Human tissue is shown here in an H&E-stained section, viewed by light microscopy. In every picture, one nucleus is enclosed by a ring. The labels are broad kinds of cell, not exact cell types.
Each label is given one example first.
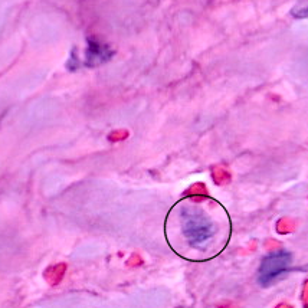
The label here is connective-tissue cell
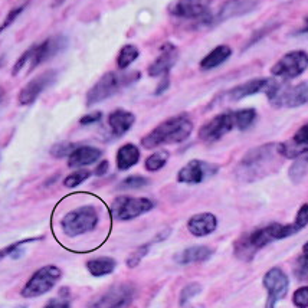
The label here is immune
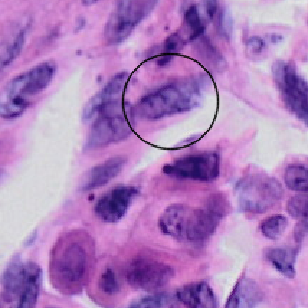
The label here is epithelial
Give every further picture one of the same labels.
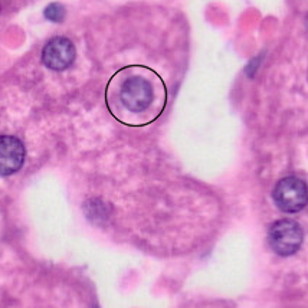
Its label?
epithelial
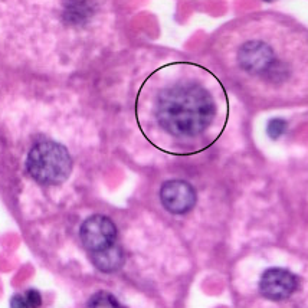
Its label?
epithelial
